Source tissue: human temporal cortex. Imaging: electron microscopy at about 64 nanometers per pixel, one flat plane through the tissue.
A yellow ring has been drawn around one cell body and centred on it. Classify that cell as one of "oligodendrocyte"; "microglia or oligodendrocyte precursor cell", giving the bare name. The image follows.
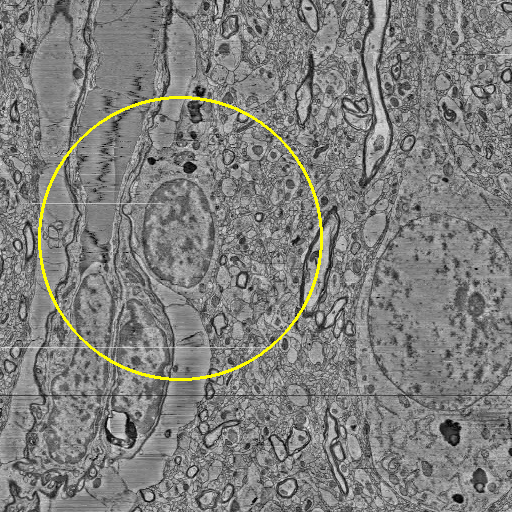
oligodendrocyte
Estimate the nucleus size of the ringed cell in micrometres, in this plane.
Approximately 7 micrometres long and 5 micrometres wide, so clearly longer than it is wide in this plane.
